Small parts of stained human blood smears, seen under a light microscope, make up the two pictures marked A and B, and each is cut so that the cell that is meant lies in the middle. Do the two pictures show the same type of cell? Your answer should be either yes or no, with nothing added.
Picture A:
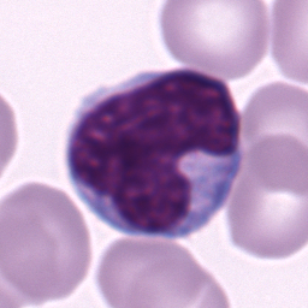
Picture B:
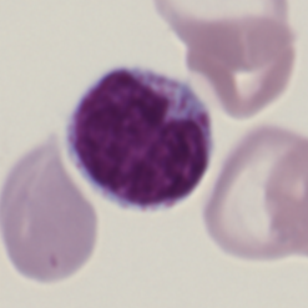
yes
